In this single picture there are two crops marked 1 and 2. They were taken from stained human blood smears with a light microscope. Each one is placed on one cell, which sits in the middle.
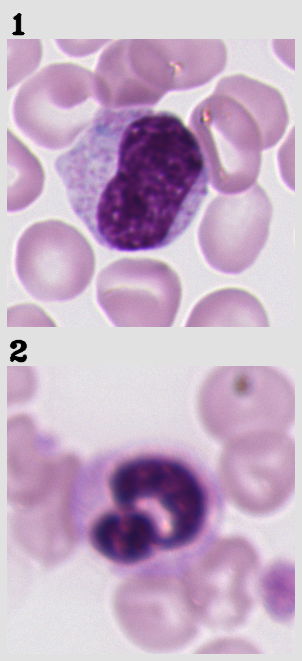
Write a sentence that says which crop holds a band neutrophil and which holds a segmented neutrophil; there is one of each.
Crop 1 is identified as a band neutrophil, and crop 2 is identified as a segmented neutrophil.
